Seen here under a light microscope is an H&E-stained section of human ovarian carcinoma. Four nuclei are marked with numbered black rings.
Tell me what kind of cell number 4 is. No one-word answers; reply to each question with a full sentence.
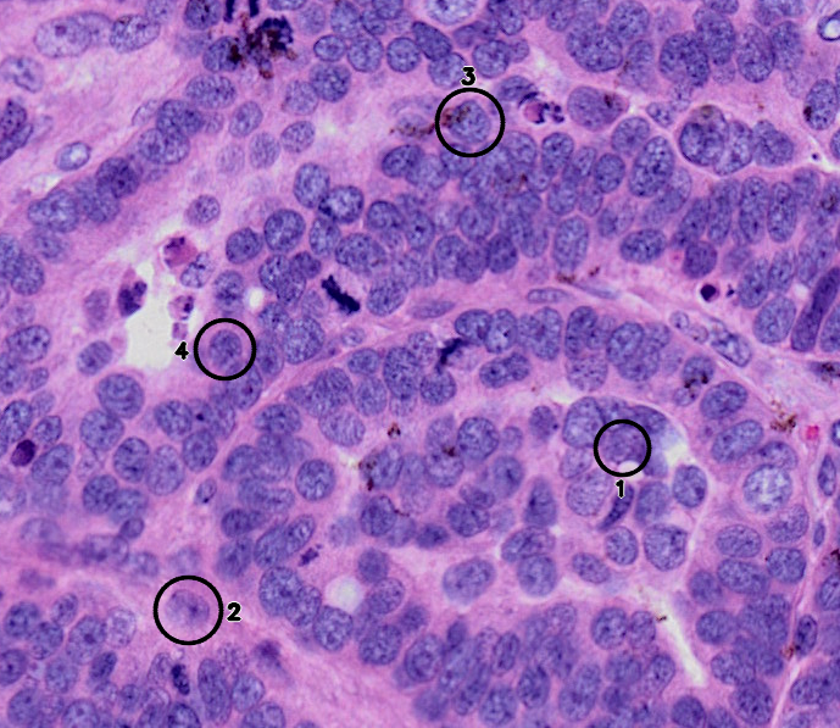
The cell that carries the label 4 is a carcinoma cell.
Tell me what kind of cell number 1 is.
The numbered cell 1 in this field is a carcinoma cell.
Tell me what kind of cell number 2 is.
The cell that is numbered 2 is a fibroblast.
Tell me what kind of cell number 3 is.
In this section, number 3 marks a carcinoma cell.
